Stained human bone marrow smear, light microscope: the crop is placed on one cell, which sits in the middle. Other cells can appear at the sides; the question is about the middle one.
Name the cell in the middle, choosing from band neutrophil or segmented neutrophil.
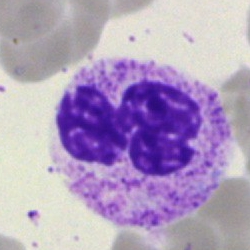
segmented neutrophil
